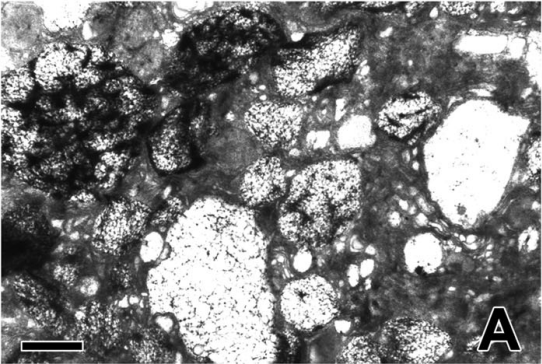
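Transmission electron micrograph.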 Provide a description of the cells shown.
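The cytoplasm of these glandular cells is crowded with large, rounded secretory vesicles of varying size. Their contents are pale and filled with a fine fibrillar, speckled material, denser in some vesicles than in others. Some vesicles appear nearly empty and clear, while others have darker, clumped contents.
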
